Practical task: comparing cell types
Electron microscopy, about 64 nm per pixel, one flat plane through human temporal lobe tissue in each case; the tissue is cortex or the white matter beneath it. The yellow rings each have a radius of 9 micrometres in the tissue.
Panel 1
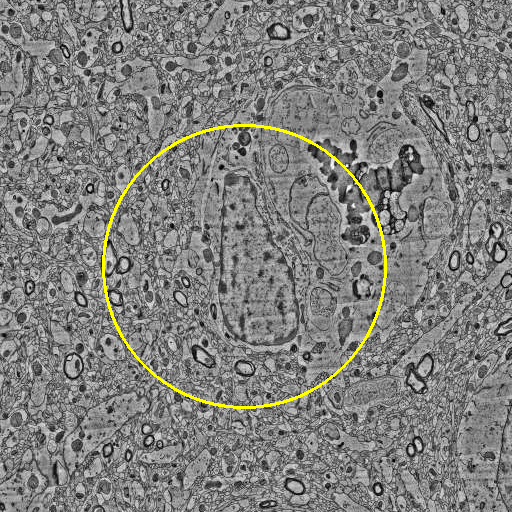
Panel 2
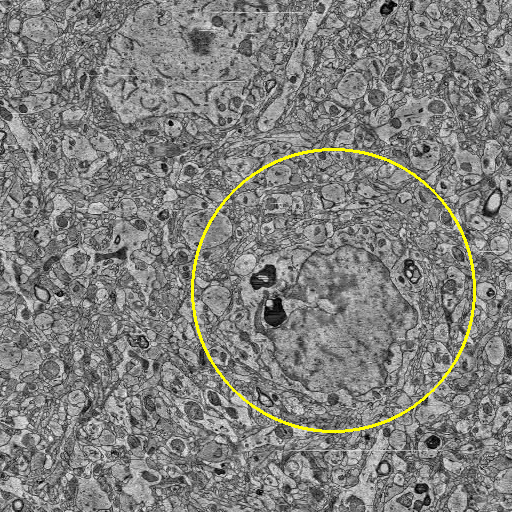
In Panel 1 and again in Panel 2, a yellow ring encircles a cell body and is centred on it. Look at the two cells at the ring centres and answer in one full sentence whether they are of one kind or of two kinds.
The two cells sitting at the ring centres of Panels 1 and 2 are of two kinds.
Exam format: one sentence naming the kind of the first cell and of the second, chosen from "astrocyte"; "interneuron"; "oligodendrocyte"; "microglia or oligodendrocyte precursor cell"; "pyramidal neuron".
The first picture's cell is a microglial cell or oligodendrocyte precursor cell, and the second picture's cell is an interneuron.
